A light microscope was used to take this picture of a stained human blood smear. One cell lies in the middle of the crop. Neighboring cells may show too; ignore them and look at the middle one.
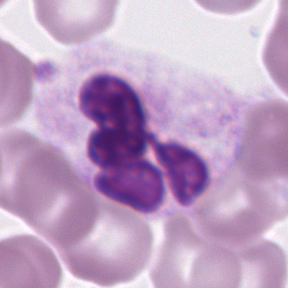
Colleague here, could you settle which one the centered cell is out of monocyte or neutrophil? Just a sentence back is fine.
The middle position in this crop is taken by a neutrophil.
